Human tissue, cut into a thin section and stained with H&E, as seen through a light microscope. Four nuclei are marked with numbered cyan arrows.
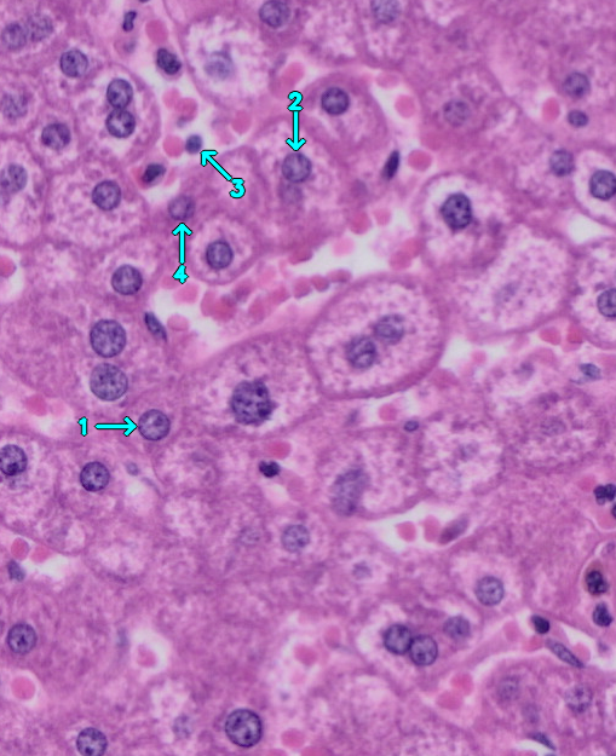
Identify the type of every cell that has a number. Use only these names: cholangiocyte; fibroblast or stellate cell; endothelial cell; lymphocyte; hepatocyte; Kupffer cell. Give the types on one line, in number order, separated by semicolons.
hepatocyte; hepatocyte; lymphocyte; hepatocyte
